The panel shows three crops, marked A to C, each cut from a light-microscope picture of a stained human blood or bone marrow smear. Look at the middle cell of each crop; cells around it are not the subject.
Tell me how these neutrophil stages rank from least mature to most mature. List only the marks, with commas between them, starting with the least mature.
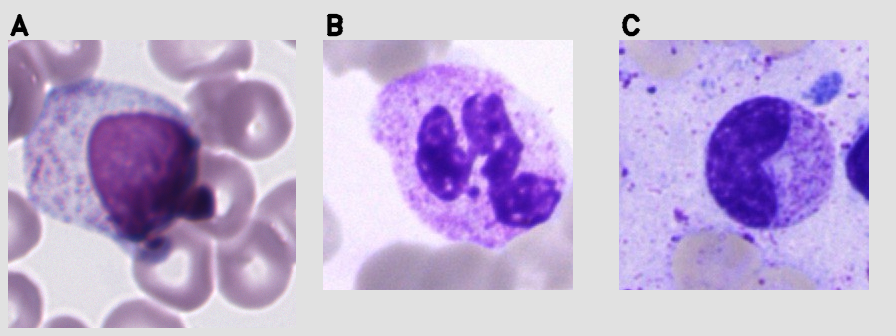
A, C, B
